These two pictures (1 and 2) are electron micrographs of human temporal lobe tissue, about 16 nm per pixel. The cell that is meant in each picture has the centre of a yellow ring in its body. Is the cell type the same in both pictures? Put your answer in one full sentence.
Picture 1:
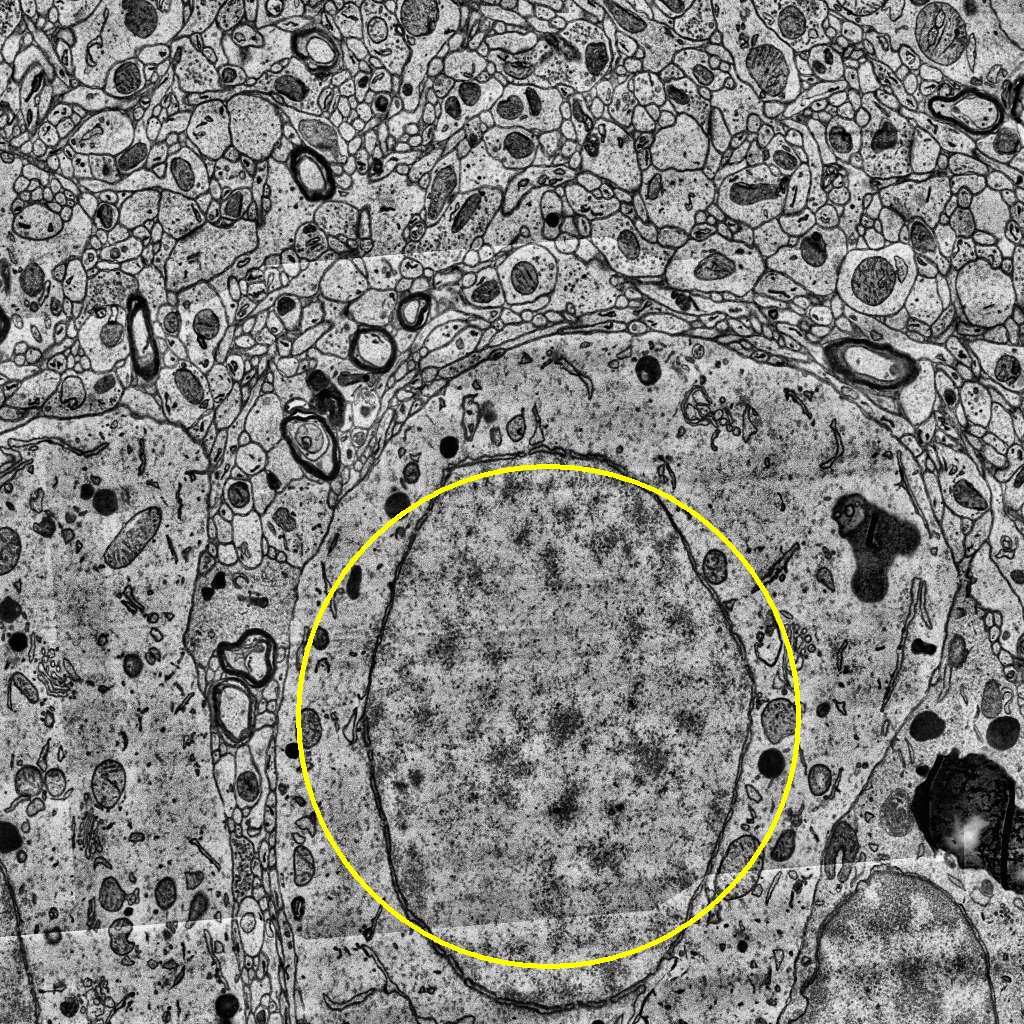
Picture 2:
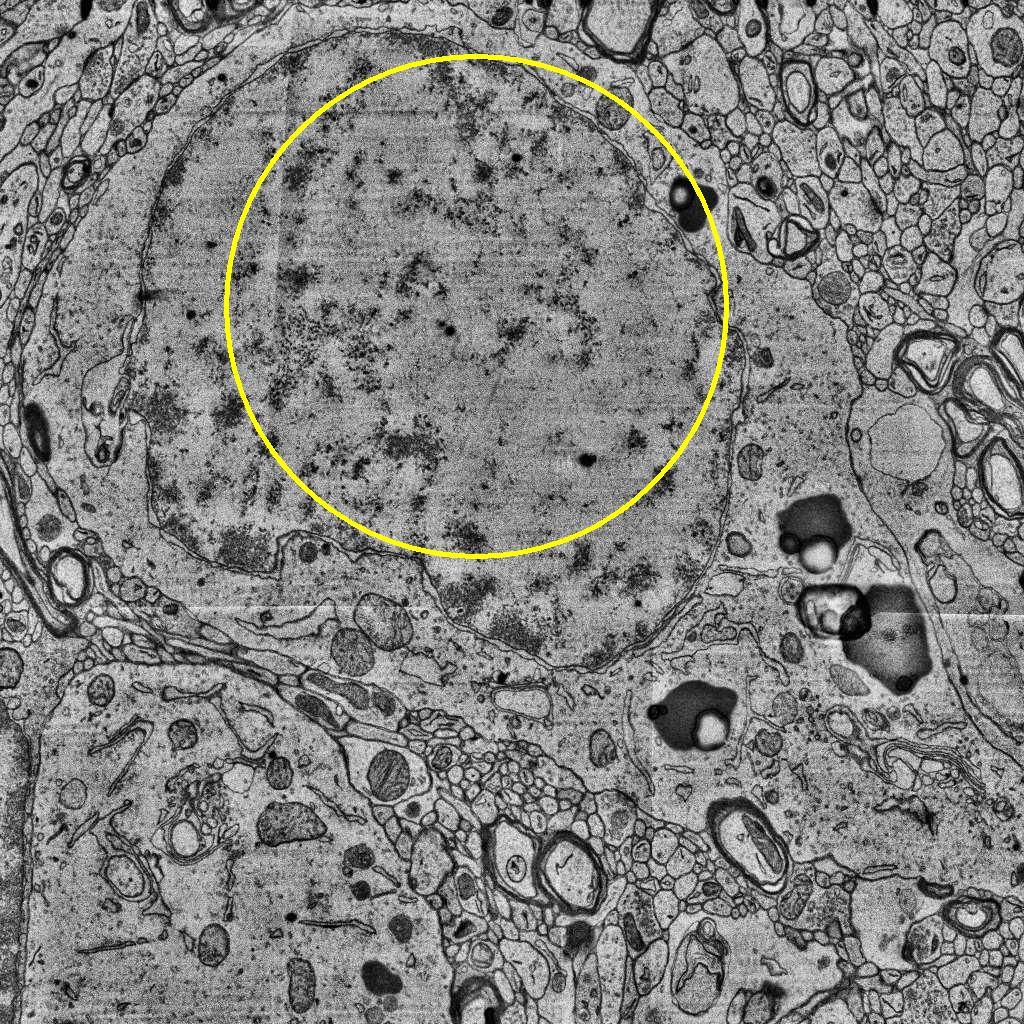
No, the types are not the same, since picture 1 shows a pyramidal neuron and picture 2 an interneuron.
